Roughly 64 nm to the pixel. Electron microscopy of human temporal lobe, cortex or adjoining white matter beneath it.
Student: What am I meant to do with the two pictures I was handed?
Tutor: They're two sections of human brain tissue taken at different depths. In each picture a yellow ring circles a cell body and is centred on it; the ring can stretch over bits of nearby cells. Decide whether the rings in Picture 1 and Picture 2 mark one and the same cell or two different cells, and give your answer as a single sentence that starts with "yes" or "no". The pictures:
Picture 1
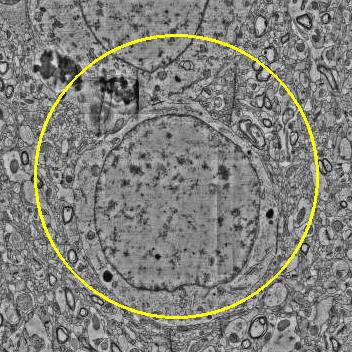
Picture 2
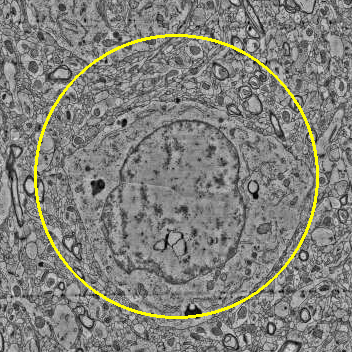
Yes, the two rings belong to one cell, not to two.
